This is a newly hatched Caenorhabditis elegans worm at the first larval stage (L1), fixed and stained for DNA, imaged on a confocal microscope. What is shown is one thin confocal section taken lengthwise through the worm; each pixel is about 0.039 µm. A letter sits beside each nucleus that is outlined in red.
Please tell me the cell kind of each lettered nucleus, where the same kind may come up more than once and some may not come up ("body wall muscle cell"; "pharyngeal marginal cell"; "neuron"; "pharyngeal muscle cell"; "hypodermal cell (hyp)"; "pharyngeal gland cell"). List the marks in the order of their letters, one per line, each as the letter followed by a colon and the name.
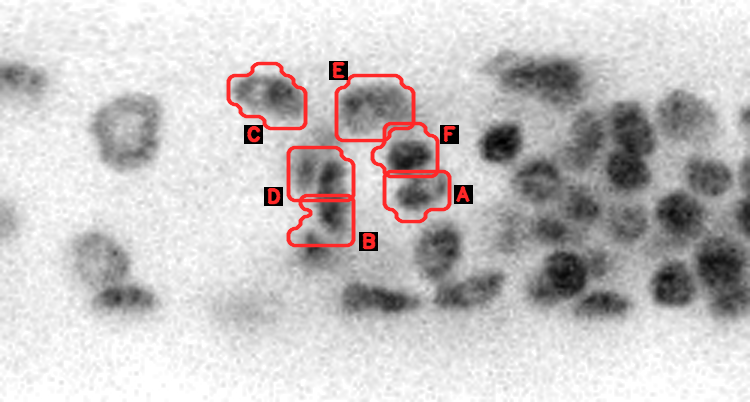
A: pharyngeal gland cell
B: pharyngeal muscle cell
C: body wall muscle cell
D: pharyngeal marginal cell
E: body wall muscle cell
F: neuron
